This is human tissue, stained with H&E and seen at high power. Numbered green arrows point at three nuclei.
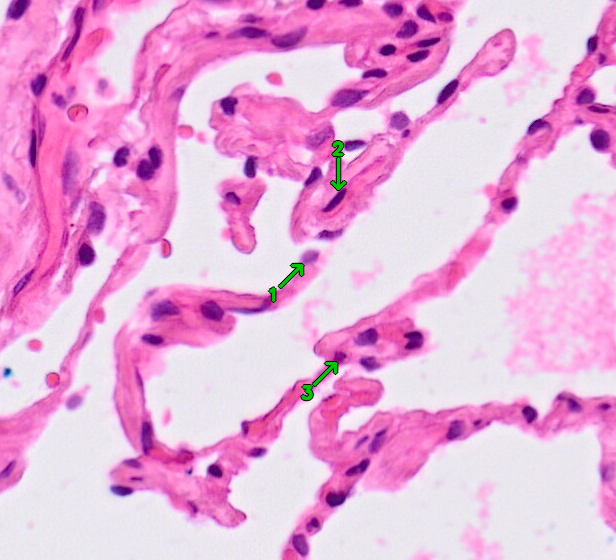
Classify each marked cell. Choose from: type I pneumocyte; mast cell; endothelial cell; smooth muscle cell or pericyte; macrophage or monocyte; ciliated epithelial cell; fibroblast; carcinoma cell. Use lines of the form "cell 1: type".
cell 1: type I pneumocyte
cell 2: endothelial cell
cell 3: endothelial cell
